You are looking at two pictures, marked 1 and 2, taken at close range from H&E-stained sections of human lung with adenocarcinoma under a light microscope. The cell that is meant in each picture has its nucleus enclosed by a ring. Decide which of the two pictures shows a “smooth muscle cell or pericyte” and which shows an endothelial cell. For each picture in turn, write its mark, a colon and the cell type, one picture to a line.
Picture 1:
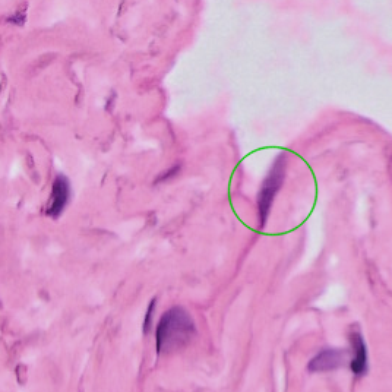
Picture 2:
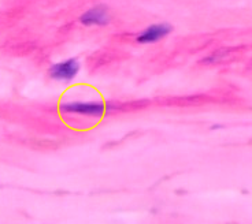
1: endothelial cell
2: smooth muscle cell or pericyte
